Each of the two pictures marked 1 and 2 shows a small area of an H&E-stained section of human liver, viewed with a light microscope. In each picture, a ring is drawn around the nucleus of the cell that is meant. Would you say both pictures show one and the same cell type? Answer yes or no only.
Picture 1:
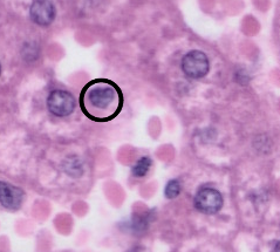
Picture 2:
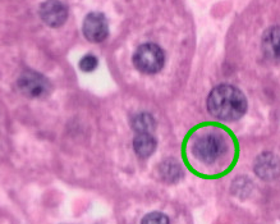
yes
